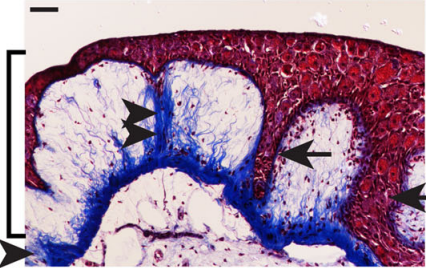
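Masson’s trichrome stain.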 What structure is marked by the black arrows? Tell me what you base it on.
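Epidermal tongues. The arrows point to downward projections of the red surface cell layer. These projections extend between pale, loosely textured pockets.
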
